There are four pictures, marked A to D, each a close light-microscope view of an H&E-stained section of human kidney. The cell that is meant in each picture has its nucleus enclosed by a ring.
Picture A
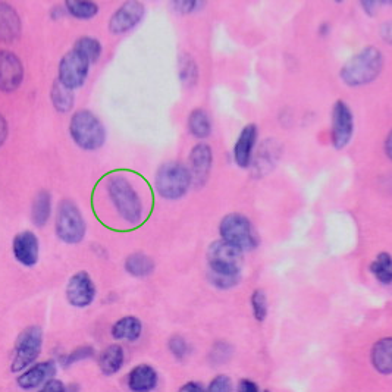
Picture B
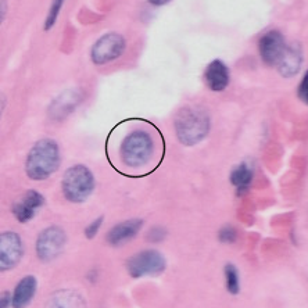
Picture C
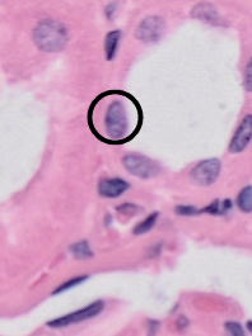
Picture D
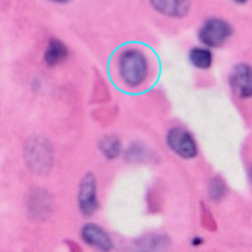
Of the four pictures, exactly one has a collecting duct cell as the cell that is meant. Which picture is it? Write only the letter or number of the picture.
A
